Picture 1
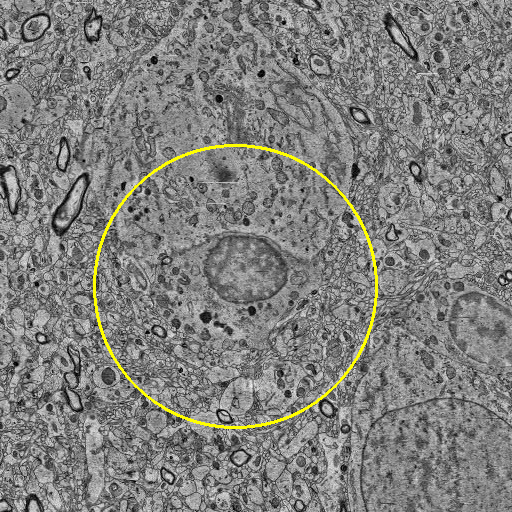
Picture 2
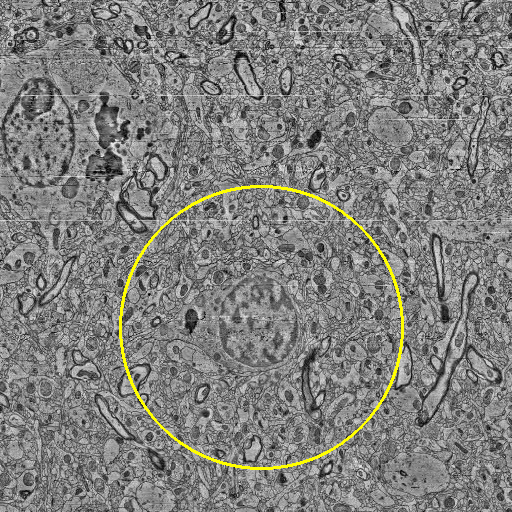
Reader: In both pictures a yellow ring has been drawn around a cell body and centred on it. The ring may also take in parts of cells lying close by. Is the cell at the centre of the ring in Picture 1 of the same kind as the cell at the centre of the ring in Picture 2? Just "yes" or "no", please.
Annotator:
yes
